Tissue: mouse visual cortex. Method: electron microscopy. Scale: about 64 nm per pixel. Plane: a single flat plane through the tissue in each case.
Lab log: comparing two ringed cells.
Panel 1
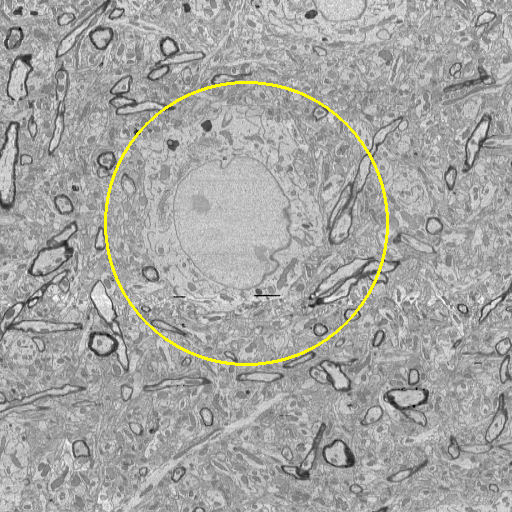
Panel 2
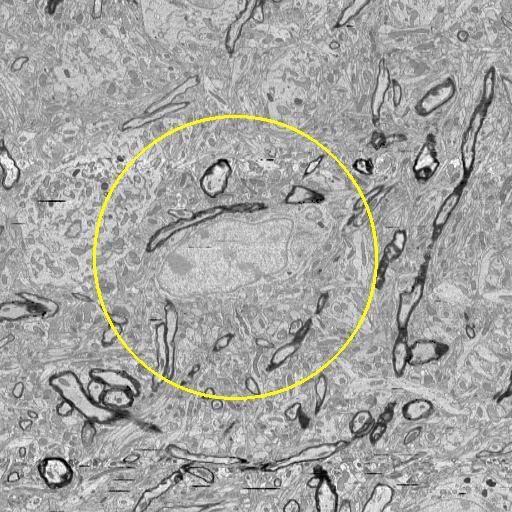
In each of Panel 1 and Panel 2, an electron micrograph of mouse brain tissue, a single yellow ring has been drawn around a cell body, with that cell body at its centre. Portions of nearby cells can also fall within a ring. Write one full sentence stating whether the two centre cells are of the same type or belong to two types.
The cells at the ring centres in Panel 1 and Panel 2 belong to two types.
